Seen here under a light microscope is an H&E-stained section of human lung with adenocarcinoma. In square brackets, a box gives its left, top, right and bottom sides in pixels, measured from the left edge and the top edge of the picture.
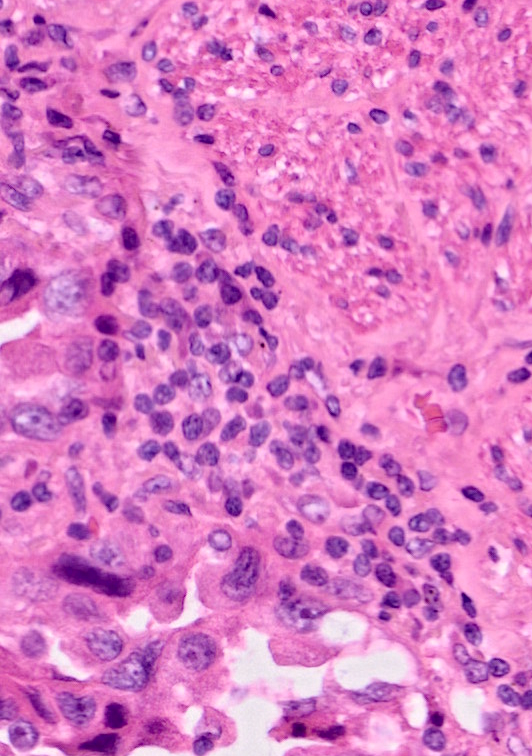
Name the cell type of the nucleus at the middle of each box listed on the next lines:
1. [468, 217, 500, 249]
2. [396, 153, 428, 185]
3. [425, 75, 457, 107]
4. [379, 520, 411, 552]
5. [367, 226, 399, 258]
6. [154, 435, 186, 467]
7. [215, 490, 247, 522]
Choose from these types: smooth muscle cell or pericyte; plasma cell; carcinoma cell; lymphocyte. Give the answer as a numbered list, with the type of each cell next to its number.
1. smooth muscle cell or pericyte
2. smooth muscle cell or pericyte
3. smooth muscle cell or pericyte
4. lymphocyte
5. smooth muscle cell or pericyte
6. lymphocyte
7. lymphocyte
